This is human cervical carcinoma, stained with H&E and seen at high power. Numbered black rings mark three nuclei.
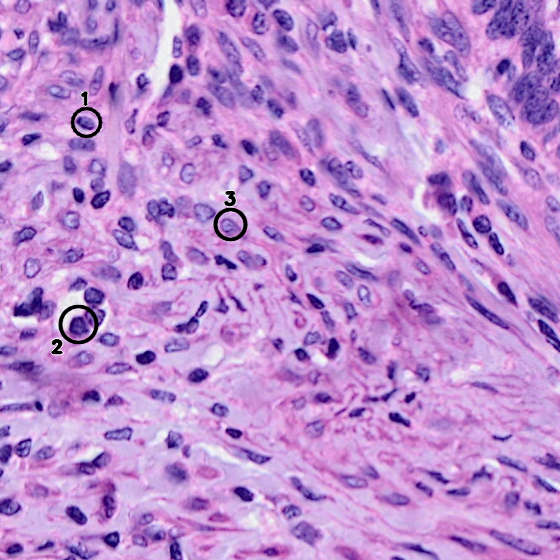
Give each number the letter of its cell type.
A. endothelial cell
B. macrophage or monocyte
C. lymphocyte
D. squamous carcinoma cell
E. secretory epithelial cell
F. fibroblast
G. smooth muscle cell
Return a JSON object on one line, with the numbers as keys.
{"1": "C", "2": "C", "3": "G"}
